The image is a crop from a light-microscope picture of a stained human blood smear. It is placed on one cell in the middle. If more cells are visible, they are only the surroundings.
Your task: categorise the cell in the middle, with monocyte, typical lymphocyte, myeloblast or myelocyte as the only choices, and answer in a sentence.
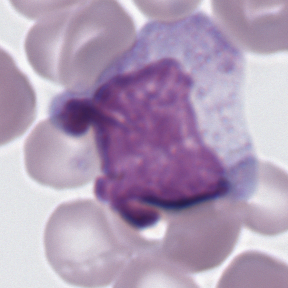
For this crop, the central cell is a myelocyte.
